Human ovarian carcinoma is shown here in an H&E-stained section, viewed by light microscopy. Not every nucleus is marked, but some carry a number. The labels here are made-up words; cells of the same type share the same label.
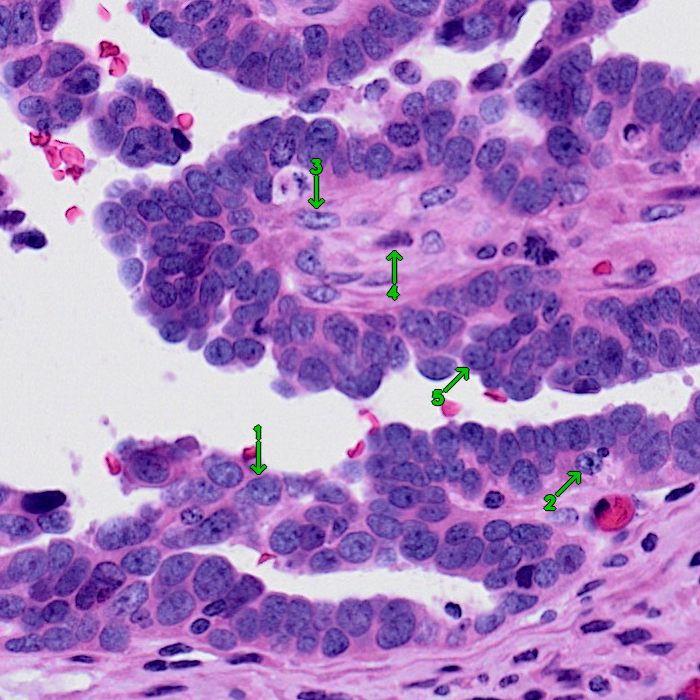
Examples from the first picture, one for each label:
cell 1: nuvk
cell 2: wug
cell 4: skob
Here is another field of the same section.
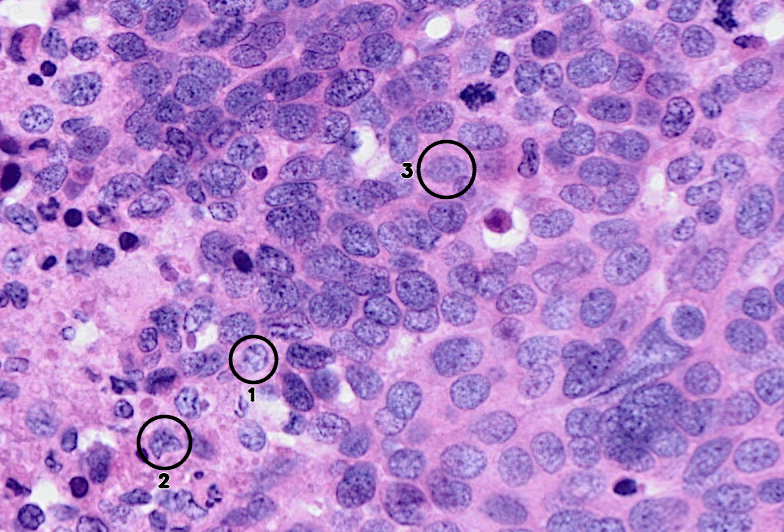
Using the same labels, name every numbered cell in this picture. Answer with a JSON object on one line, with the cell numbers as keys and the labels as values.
{"1": "wug", "2": "wug", "3": "nuvk"}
